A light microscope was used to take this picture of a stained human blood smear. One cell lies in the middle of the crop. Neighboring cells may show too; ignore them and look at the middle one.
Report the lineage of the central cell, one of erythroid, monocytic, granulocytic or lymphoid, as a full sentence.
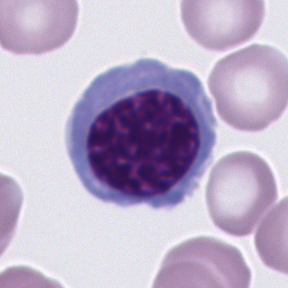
Attributed to the erythroid lineage is the centrally located cell.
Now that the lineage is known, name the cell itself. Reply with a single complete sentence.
The middle of this crop is occupied by a normoblast.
